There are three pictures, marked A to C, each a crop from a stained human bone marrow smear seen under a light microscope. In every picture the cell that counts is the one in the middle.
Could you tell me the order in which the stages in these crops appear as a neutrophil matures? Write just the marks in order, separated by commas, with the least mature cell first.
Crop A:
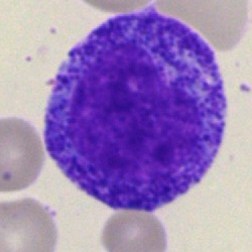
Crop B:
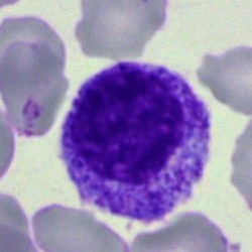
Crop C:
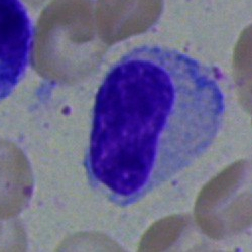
A, B, C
